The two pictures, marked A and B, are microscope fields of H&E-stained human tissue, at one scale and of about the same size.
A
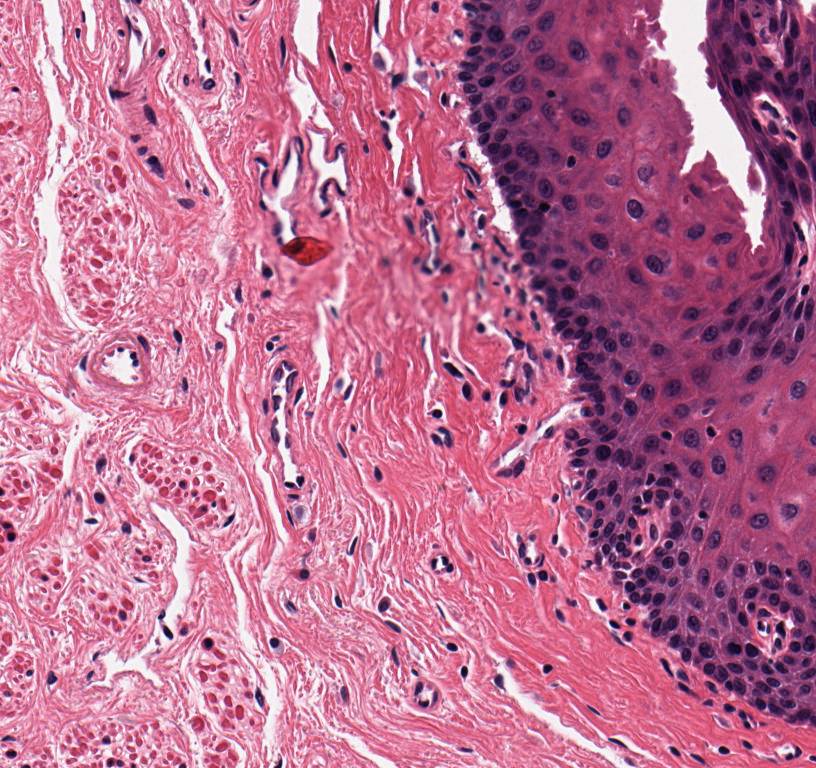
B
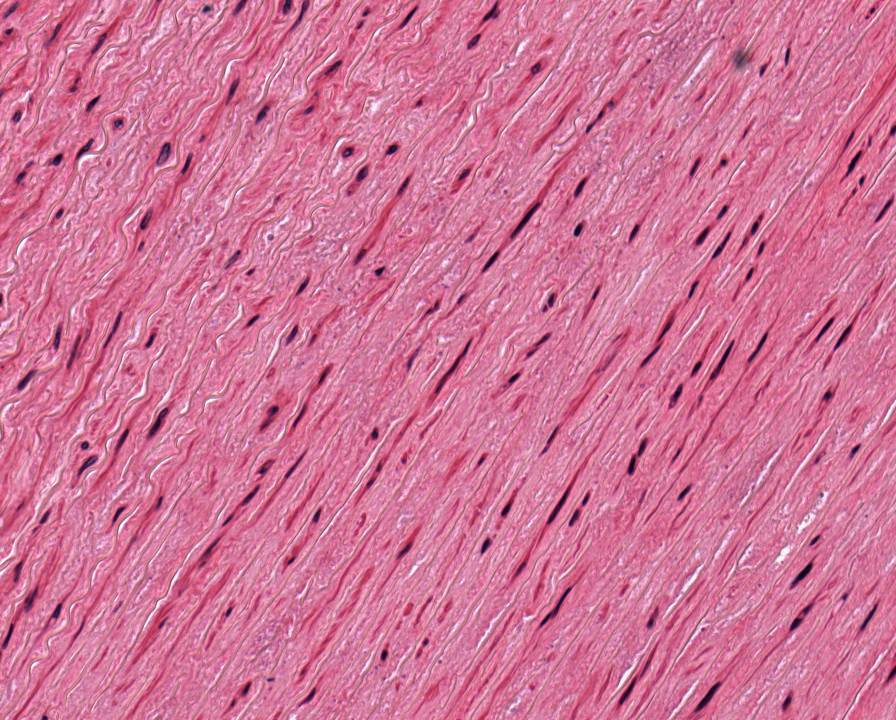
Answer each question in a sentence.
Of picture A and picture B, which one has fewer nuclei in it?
Picture B holds fewer nuclei than picture A.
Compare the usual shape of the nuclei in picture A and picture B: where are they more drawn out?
Longer, more slender nuclei lie in picture B.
